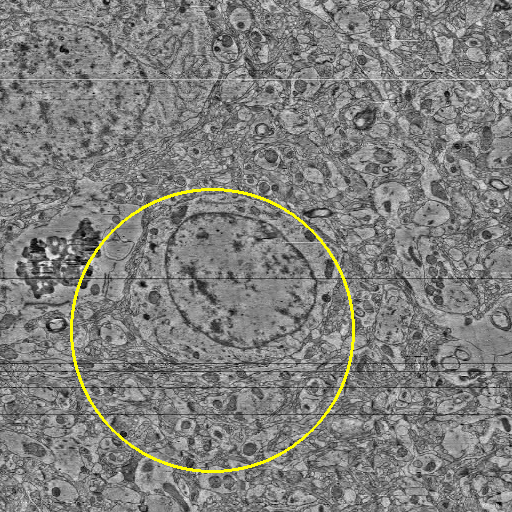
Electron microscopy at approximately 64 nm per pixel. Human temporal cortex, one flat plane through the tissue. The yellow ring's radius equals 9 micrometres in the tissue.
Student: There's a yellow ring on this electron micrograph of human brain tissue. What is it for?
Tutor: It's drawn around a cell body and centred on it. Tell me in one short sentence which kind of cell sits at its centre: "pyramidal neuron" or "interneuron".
The cell at the centre of the ring is a pyramidal neuron.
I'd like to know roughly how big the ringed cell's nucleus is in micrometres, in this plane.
In this plane the nucleus spans approximately 10 by 8 micrometers.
